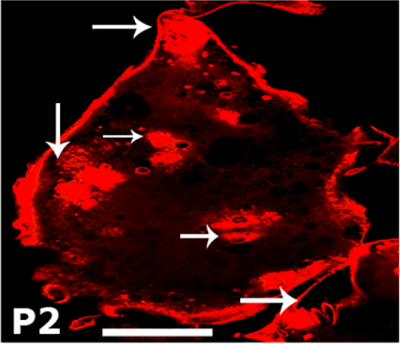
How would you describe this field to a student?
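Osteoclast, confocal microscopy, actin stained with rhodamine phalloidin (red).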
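The cell is broad and roughly triangular, with thin extensions reaching out from its corners. Its margin is outlined by a bright red band. The interior contains many small dark round holes. The cell beside it, at the lower right, is also brightly stained.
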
